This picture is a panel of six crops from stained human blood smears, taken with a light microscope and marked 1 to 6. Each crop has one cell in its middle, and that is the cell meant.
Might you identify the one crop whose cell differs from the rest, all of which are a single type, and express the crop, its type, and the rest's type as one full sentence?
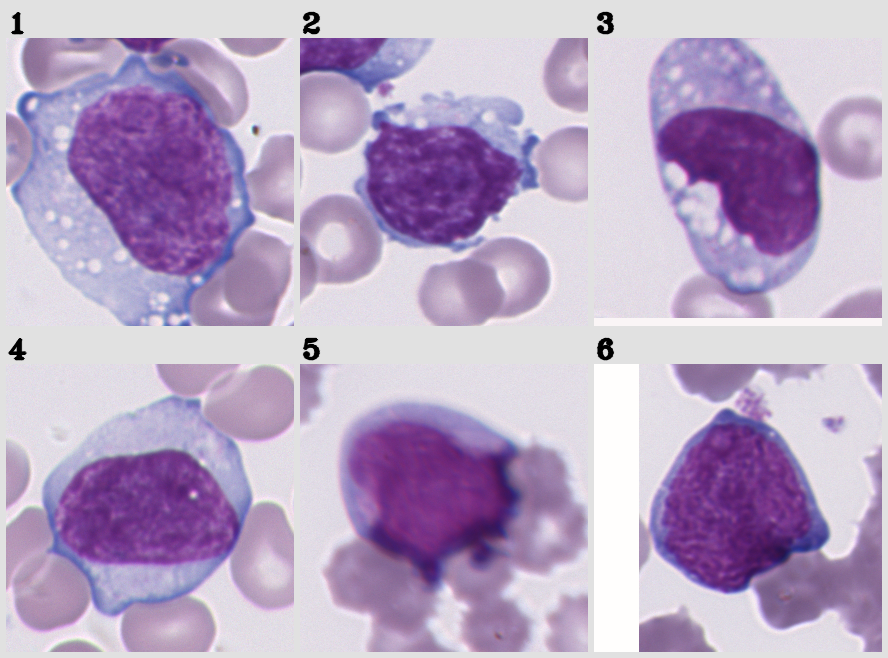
Crop 3 stands apart from the rest as a monocyte, the others all being myeloblasts.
